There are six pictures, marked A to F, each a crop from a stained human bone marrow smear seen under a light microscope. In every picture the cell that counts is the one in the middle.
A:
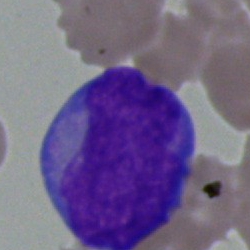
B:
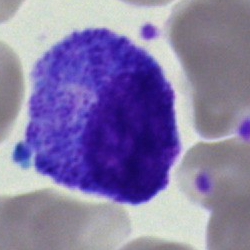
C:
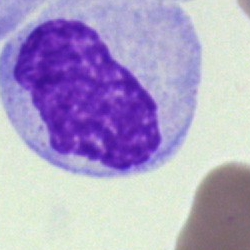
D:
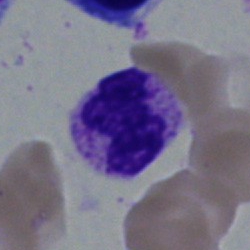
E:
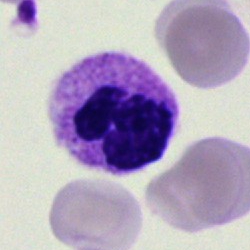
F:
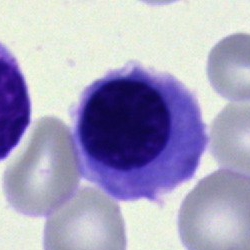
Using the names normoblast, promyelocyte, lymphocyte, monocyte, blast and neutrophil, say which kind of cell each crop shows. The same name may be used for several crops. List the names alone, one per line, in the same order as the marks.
blast
promyelocyte
monocyte
neutrophil
neutrophil
normoblast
